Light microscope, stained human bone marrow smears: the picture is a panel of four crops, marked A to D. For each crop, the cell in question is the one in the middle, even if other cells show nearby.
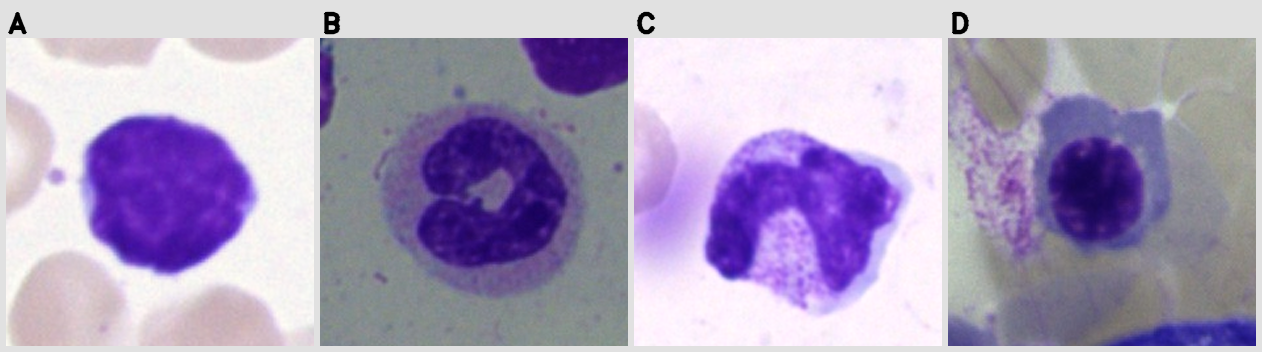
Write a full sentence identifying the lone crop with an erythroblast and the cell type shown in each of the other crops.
The middle of crop D is occupied by an erythroblast, while crop A is a lymphocyte, crop B is a band neutrophil and crop C is a segmented neutrophil.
